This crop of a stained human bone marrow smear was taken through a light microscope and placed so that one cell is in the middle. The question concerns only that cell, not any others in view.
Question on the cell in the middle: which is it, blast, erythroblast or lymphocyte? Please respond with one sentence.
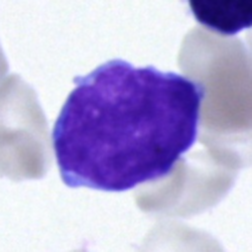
The cell sitting right in the middle is a blast.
